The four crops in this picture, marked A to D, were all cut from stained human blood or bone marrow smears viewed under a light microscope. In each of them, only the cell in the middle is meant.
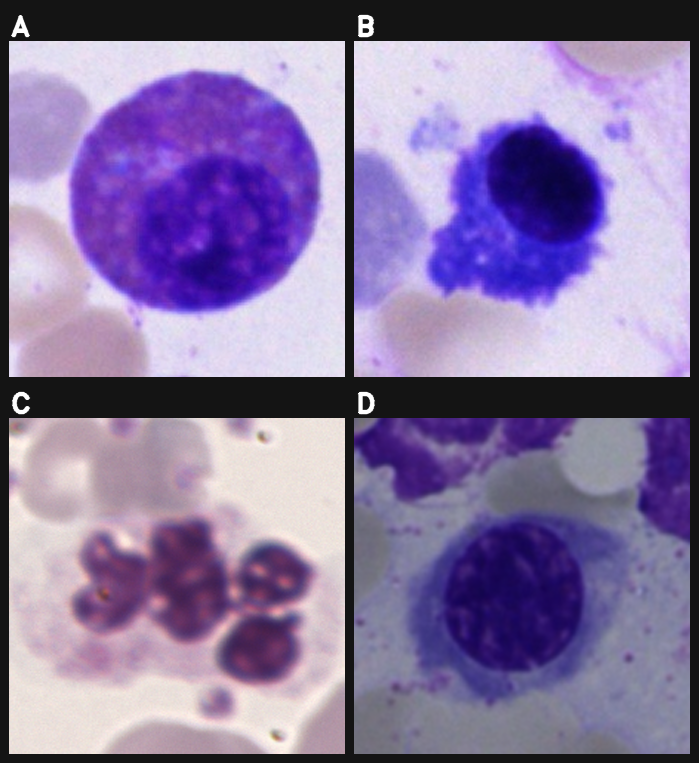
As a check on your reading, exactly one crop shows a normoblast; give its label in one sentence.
Crop D is the crop in which a normoblast is shown.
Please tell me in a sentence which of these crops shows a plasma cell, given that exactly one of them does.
The requested cell, a plasma cell, is the one in crop B.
